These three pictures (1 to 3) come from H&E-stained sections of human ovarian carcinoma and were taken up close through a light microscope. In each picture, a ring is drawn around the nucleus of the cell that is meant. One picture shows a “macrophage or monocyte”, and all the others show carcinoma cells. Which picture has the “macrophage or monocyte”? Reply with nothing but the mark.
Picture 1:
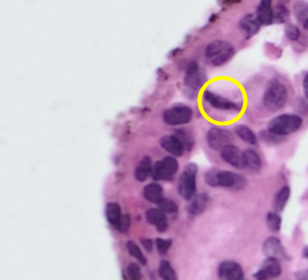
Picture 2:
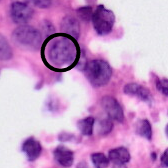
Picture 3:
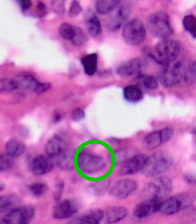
1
